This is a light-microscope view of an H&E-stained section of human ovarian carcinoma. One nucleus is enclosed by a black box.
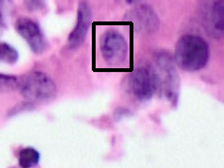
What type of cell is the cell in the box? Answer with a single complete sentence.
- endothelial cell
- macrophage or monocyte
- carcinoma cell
The cell in the box appears to be a macrophage or monocyte.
